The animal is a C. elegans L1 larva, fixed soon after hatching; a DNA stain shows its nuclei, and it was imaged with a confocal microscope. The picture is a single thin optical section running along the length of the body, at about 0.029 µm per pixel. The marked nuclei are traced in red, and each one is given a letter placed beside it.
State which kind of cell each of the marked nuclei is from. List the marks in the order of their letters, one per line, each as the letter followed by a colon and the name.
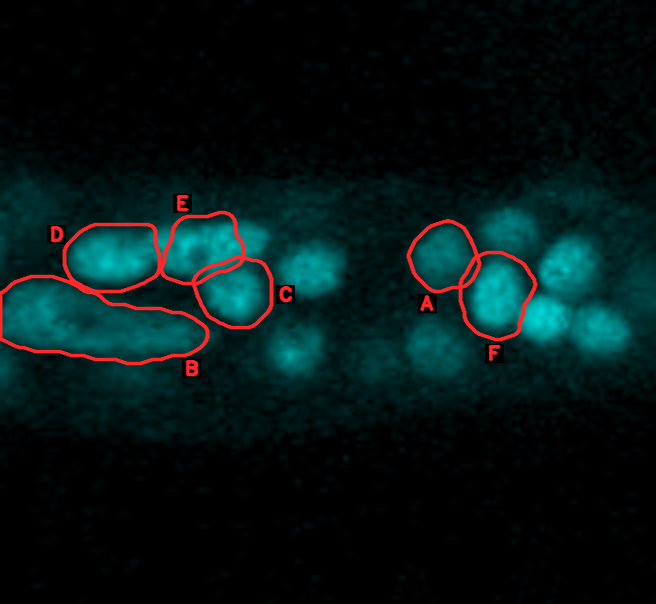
A: neuron
B: hypodermal cell (hyp)
C: enteric muscle cell
D: enteric muscle cell
E: P cell (ventral epidermal blast cell)
F: neuron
